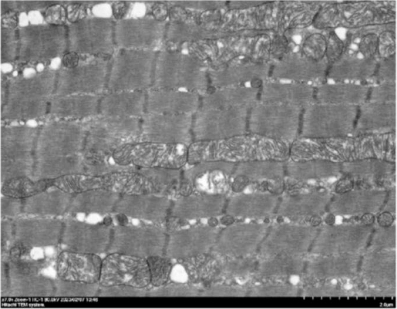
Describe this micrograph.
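This electron micrograph shows heart muscle fibers cut along their length, with myofibrils running side by side across the field. Each myofibril is divided into repeating sarcomeres by thin dark transverse lines lying at regular intervals. Between neighbouring myofibrils lie rows of mitochondria, oval to elongated, packed with closely folded cristae. Small clear spaces appear in places among the mitochondria. The banded myofibrils and the mitochondrial rows alternate in an orderly, layered arrangement.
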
